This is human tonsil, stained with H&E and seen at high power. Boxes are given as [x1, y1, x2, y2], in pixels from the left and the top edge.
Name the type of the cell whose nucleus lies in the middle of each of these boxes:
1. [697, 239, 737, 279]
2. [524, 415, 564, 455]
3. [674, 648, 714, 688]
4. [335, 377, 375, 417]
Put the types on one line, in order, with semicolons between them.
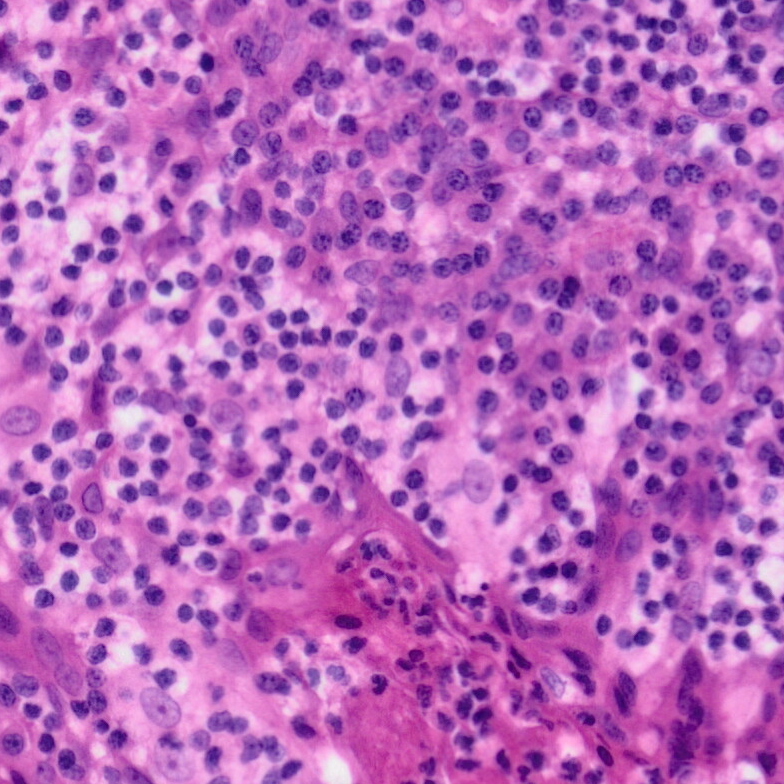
plasma cell; plasma cell; squamous epithelial cell; plasma cell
